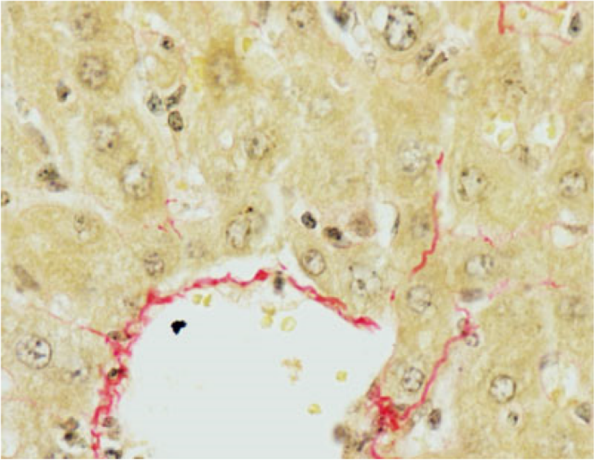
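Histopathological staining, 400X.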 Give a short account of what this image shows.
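This is liver parenchyma made up of hepatocytes, large polygonal parenchymal cells with round central nuclei, fine granular chromatin and prominent nucleoli, in abundant yellow-brown cytoplasm. They form cords separated by narrow sinusoidal spaces, with some smaller dark nuclei of lining cells. At the bottom lies a large vessel lumen containing a few yellow red blood cells, rimmed by a thin band of red-stained fibres, with short red strands extending a little way into the surrounding tissue. No pale necrotic area is seen, and the hepatocyte cords look intact.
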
